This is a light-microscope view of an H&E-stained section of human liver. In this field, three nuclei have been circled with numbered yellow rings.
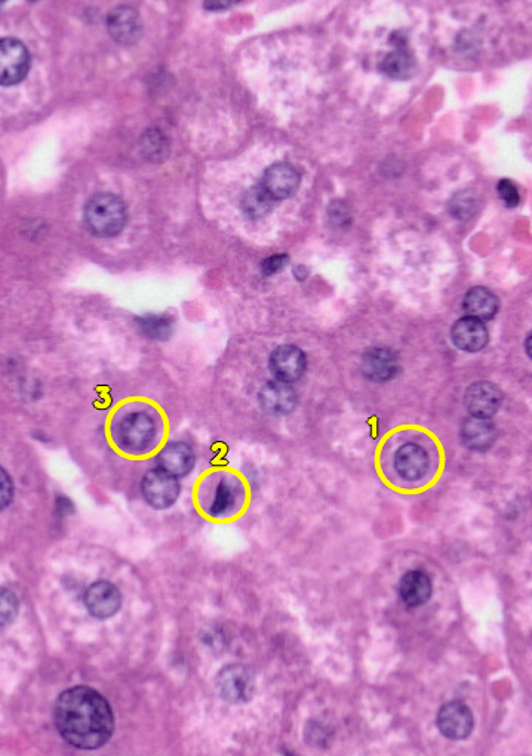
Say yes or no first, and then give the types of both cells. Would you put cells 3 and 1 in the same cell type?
Yes, both are hepatocytes.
